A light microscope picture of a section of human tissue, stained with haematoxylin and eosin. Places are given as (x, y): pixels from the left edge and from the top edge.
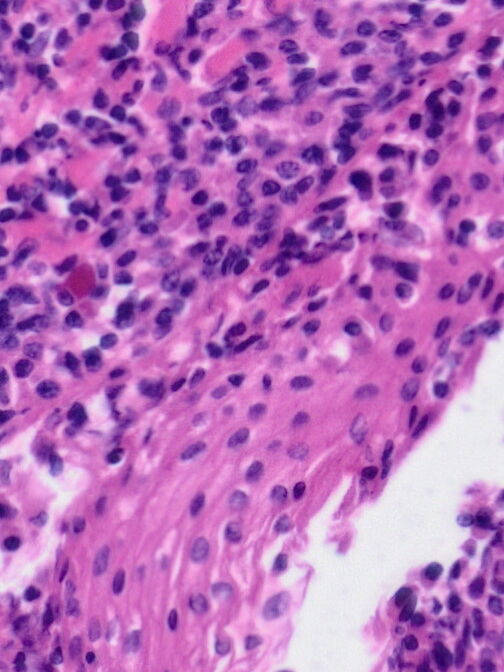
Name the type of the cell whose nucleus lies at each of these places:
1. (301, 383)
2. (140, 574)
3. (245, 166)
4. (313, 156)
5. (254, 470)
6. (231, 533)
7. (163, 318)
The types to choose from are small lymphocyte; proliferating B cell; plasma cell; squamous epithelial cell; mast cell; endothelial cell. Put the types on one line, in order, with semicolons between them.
squamous epithelial cell; squamous epithelial cell; plasma cell; plasma cell; squamous epithelial cell; squamous epithelial cell; plasma cell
